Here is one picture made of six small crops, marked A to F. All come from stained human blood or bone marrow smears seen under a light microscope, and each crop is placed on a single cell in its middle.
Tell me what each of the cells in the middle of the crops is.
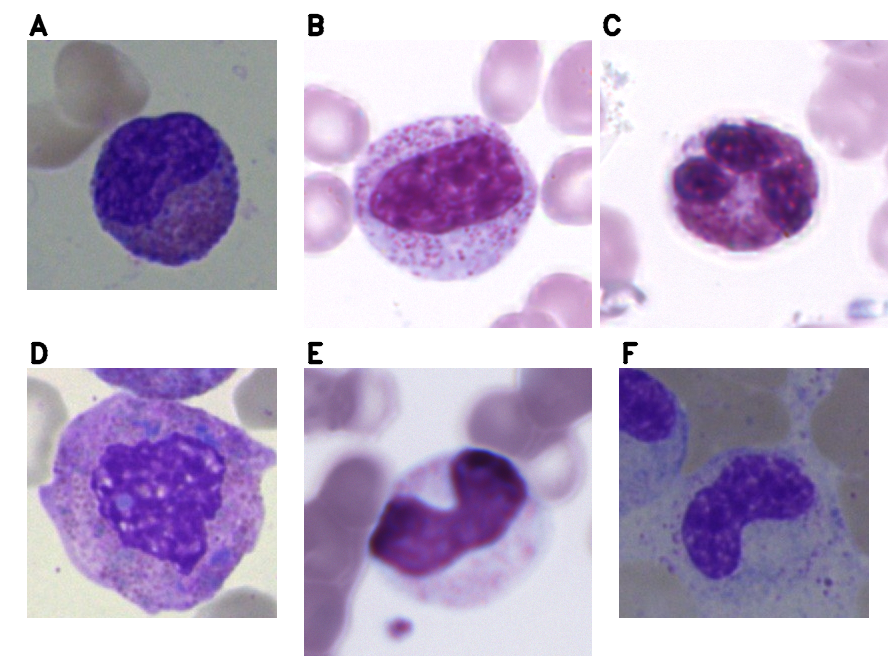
A: eosinophil
B: myelocyte
C: eosinophil
D: eosinophil
E: band neutrophil
F: band neutrophil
